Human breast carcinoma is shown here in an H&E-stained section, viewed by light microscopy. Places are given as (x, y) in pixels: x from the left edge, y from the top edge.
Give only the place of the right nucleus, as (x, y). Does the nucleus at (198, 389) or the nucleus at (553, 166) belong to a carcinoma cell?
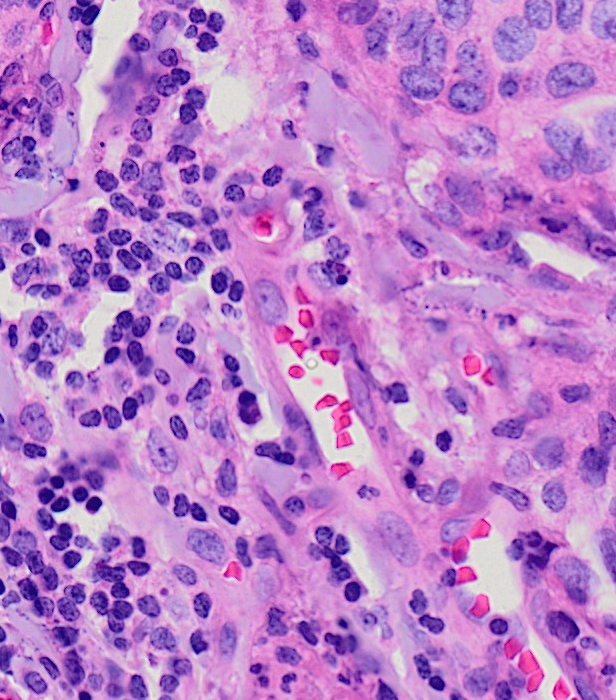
(553, 166)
